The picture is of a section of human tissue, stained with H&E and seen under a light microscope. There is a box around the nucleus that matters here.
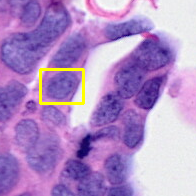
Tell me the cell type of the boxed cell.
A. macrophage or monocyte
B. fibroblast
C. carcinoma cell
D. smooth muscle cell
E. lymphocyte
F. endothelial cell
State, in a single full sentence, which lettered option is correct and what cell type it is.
Option C holds, since the boxed cell is a carcinoma cell.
